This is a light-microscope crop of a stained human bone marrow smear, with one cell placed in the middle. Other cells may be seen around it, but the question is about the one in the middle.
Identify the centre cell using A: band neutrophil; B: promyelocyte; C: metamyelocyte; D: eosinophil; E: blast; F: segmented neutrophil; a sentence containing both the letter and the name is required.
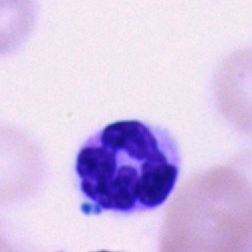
The cell placed in the middle is a segmented neutrophil; option F is correct.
